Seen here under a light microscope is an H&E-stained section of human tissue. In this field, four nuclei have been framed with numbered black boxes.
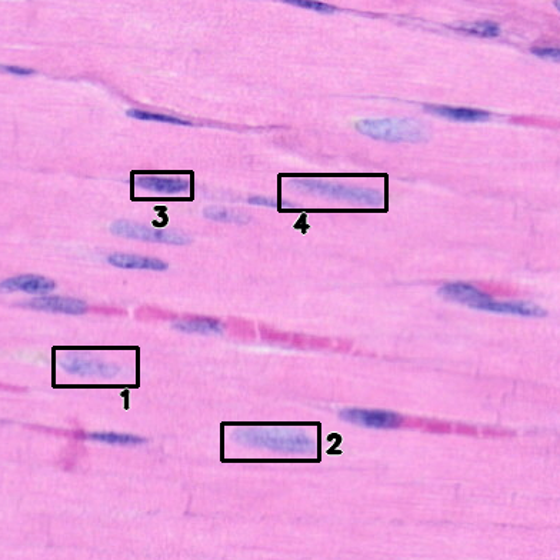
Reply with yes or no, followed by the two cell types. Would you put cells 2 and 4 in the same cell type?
Yes, cells 2 and 4 both count as cardiomyocytes.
